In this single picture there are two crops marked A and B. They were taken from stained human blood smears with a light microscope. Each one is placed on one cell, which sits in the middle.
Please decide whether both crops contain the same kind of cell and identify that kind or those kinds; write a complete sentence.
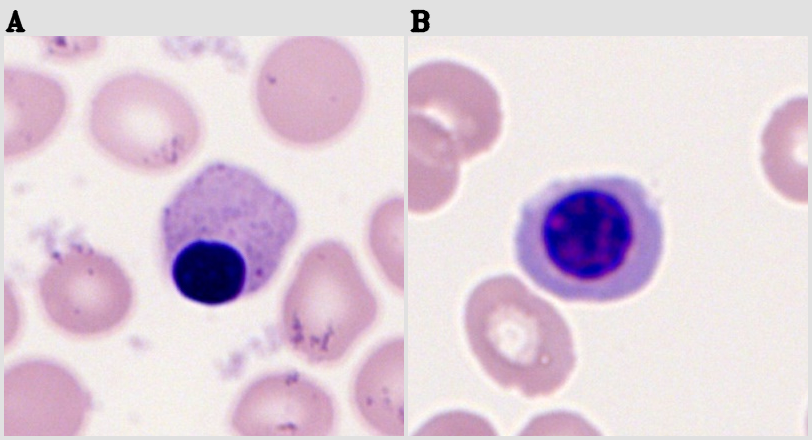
Yes, it is erythroblasts that occupy the middle of both crops.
